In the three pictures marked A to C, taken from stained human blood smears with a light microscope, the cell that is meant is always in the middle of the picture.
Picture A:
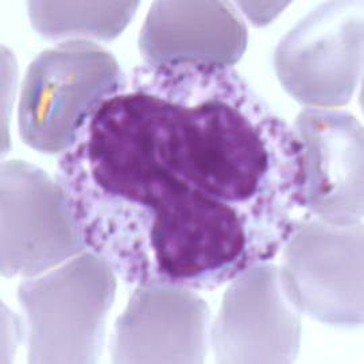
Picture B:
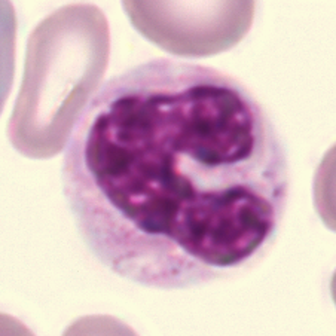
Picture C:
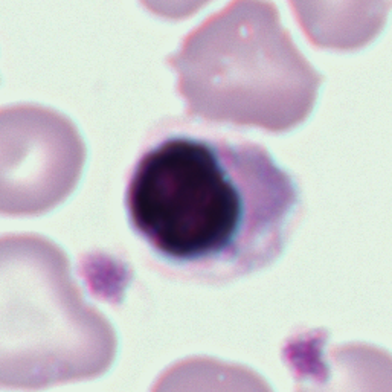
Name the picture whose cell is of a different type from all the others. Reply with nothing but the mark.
C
